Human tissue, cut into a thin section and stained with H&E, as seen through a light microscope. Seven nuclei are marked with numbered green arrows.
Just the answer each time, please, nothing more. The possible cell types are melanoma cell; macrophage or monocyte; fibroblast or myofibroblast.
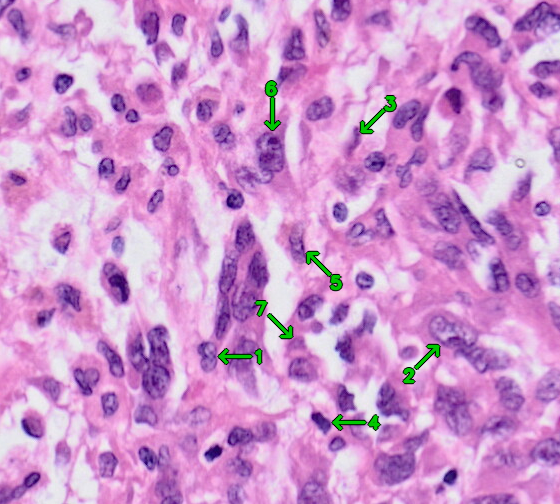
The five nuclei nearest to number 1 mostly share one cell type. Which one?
melanoma cell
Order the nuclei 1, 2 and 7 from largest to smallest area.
2, 1, 7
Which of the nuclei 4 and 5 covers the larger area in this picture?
5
